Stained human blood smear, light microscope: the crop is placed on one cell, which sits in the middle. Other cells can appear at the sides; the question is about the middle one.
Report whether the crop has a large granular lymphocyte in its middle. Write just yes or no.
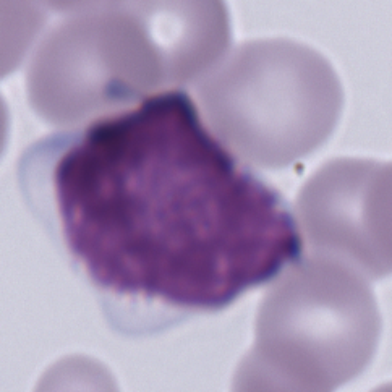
yes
